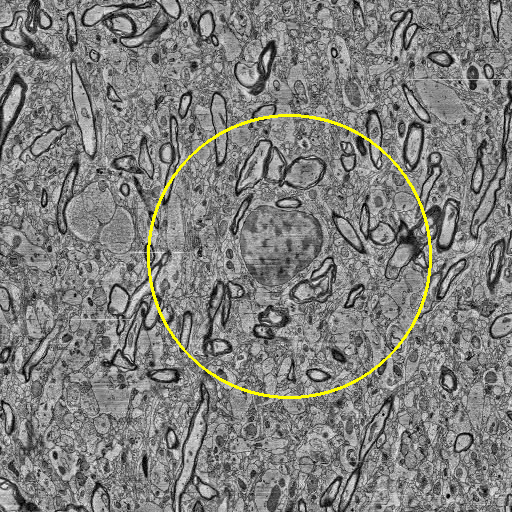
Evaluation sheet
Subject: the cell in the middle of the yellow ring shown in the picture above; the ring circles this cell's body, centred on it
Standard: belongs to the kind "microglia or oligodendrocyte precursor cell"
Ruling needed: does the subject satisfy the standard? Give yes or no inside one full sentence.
Yes, the cell in the middle of the ring in the picture above belongs to the stated kind.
